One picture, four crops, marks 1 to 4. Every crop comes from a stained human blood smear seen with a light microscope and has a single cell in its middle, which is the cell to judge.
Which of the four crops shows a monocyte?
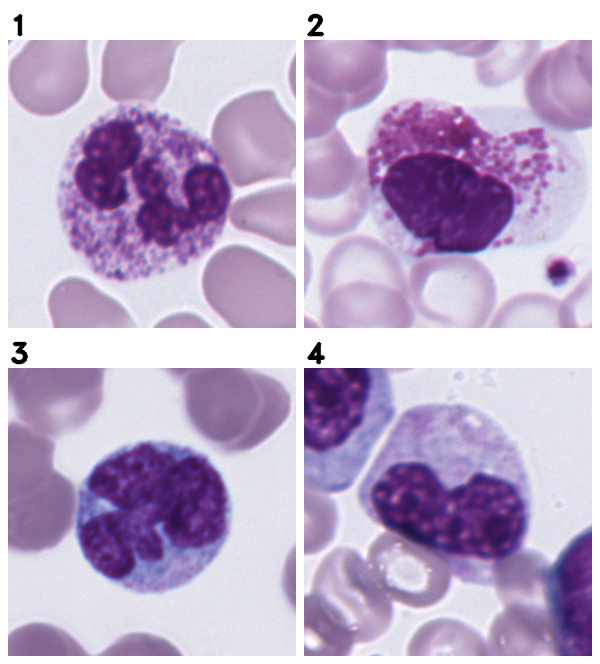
3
